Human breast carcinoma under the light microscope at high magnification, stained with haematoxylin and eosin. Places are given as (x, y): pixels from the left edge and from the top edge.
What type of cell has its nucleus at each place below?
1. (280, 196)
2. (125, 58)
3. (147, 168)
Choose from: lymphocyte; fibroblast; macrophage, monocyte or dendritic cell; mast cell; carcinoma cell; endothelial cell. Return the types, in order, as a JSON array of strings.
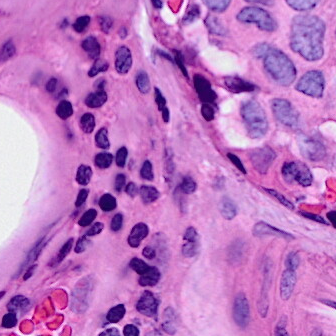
["endothelial cell", "mast cell", "lymphocyte"]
